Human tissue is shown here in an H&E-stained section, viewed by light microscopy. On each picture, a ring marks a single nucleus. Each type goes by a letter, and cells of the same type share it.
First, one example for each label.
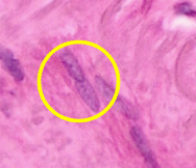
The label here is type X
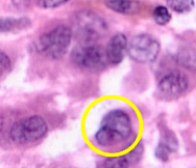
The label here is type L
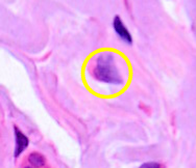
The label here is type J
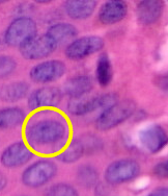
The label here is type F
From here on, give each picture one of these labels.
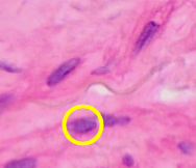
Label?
type X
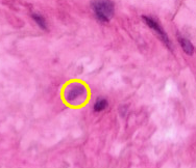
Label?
type X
